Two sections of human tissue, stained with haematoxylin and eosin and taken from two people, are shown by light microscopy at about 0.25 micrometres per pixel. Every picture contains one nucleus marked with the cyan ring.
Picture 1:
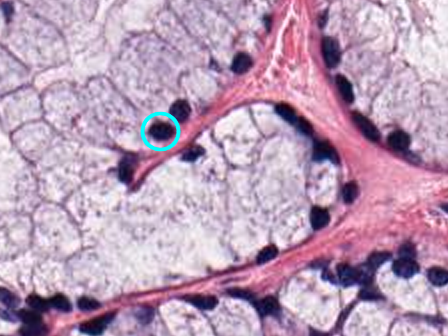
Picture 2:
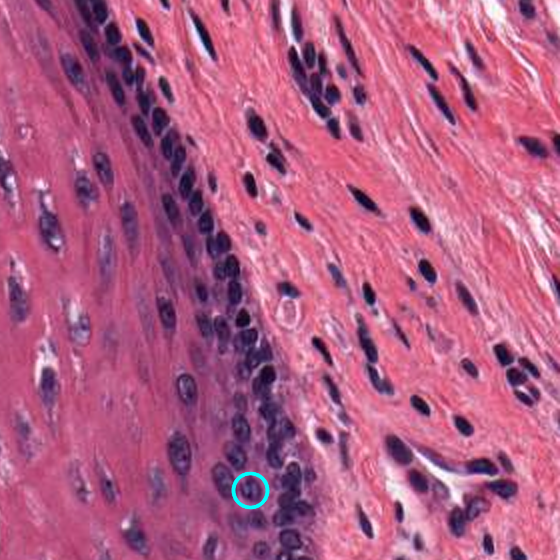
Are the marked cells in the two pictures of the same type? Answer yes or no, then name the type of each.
No, the first is a mucous gland cell and the second a squamous epithelial cell.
